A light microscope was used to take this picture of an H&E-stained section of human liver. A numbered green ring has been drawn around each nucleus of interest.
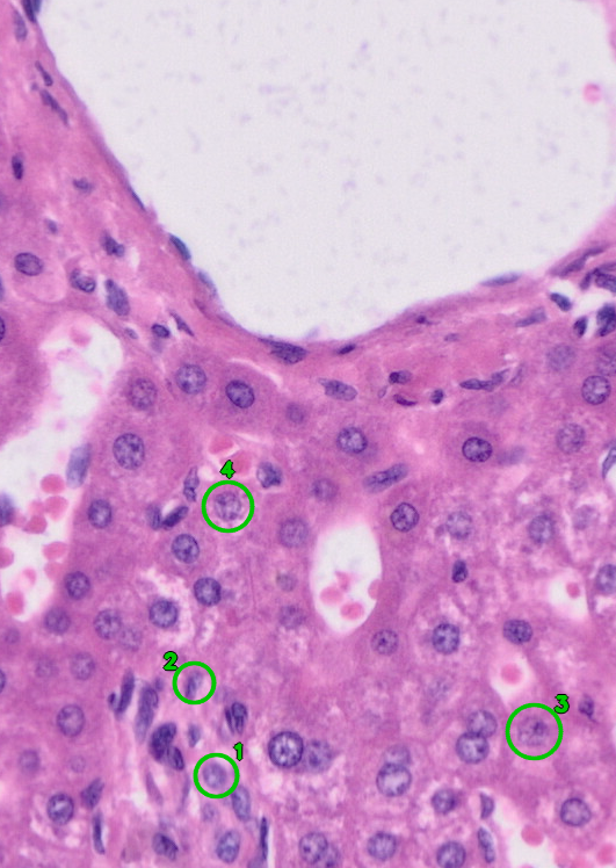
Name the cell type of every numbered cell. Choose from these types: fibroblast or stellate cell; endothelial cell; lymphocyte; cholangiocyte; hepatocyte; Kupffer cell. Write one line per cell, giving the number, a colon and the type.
1: cholangiocyte
2: fibroblast or stellate cell
3: hepatocyte
4: hepatocyte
